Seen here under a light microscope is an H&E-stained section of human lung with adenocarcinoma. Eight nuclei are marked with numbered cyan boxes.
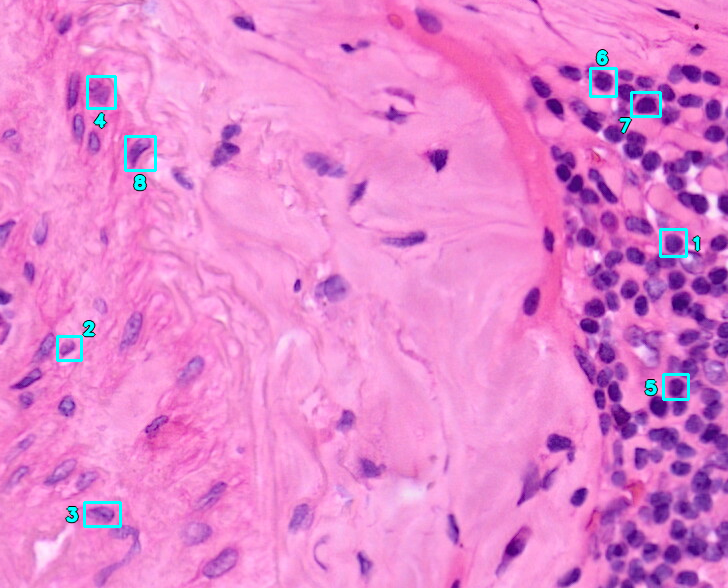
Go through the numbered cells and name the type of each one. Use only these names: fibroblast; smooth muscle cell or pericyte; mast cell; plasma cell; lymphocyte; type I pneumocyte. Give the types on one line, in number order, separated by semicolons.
lymphocyte; smooth muscle cell or pericyte; smooth muscle cell or pericyte; smooth muscle cell or pericyte; lymphocyte; lymphocyte; lymphocyte; smooth muscle cell or pericyte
